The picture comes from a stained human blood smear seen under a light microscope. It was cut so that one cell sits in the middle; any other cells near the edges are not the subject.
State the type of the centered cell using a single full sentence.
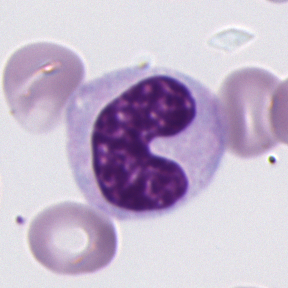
Among the cells in view, the one in the middle is a band neutrophil.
